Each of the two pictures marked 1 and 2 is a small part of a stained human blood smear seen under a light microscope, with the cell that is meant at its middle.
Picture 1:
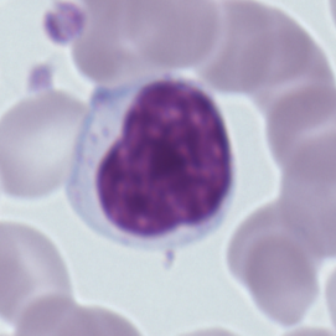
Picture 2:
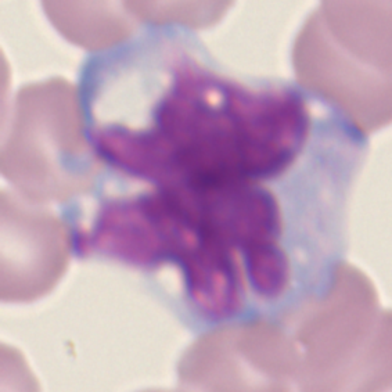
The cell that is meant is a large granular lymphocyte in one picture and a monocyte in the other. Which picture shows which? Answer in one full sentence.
It is picture 1 that shows a large granular lymphocyte, and picture 2 that shows a monocyte.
